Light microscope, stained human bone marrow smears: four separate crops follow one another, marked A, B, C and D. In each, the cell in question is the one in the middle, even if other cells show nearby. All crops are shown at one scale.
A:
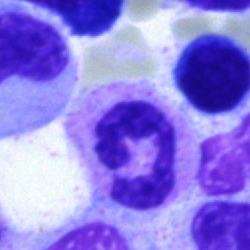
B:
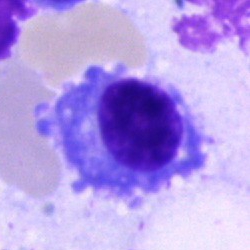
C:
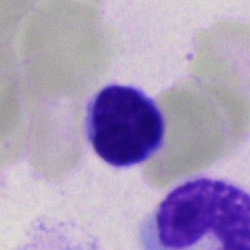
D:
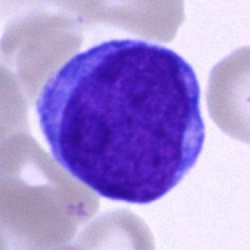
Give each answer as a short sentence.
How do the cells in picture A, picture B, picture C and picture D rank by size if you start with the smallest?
From the smallest up, the order is C, A, B, D.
